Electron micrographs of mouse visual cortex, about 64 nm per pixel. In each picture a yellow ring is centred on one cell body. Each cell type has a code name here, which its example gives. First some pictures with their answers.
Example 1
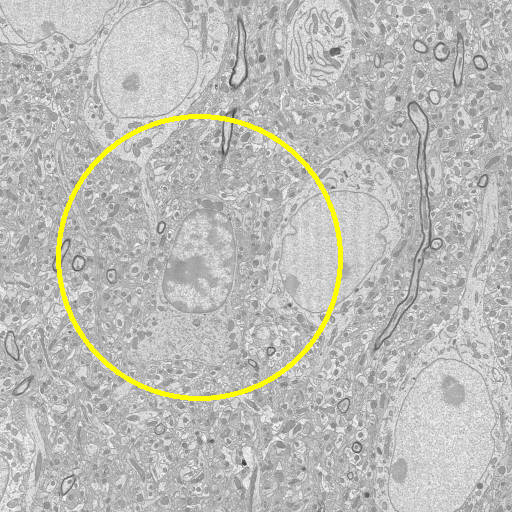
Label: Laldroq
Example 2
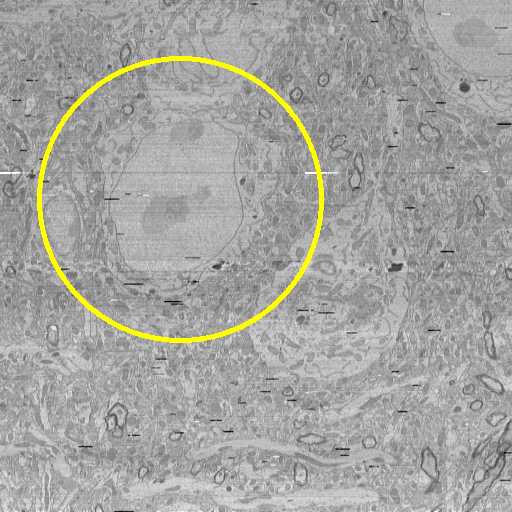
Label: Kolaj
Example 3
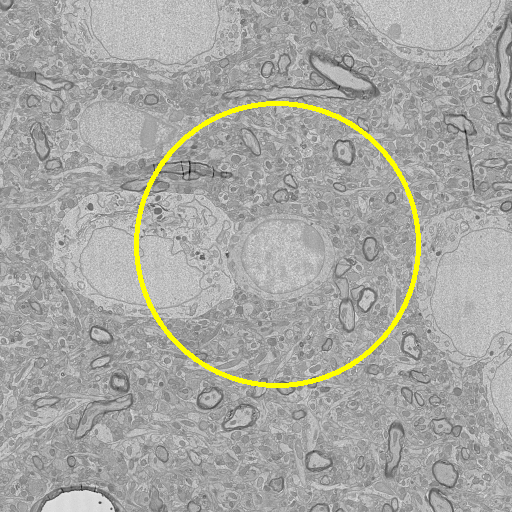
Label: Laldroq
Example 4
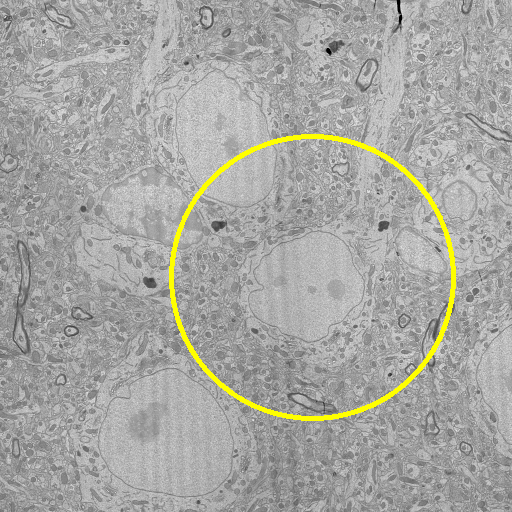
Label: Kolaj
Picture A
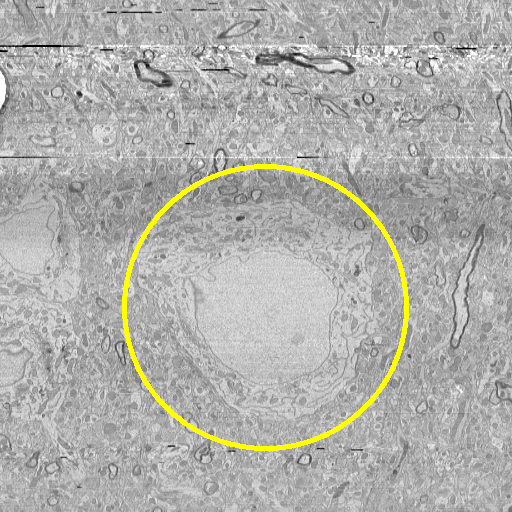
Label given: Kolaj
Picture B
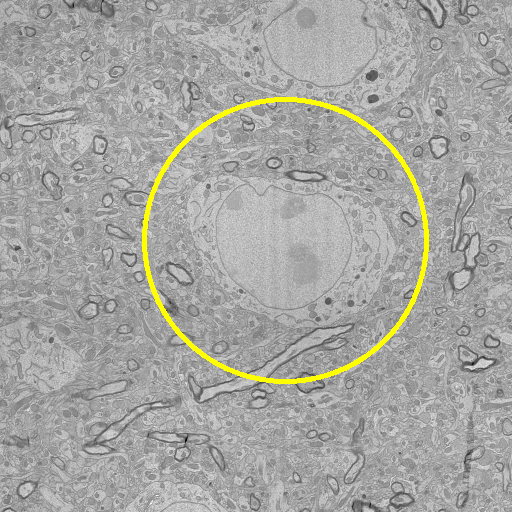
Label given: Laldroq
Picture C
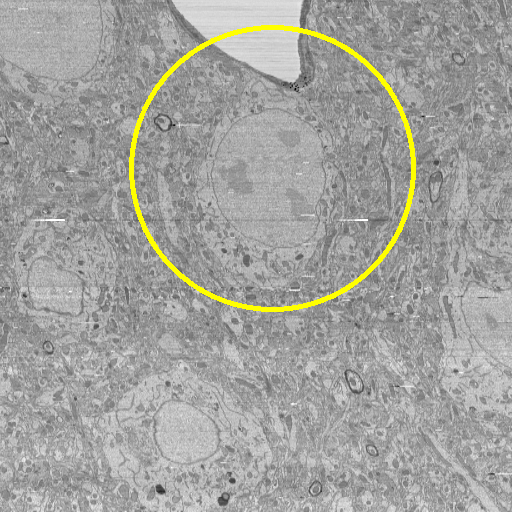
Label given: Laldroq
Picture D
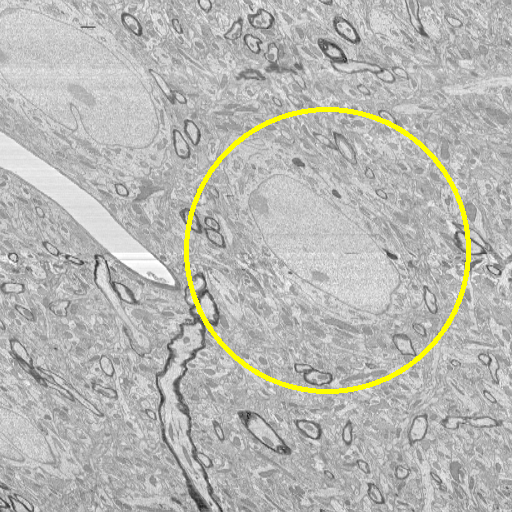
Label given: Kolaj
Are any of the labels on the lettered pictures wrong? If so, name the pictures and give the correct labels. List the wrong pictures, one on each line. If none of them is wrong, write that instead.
B: not Laldroq but Kolaj
C: not Laldroq but Kolaj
